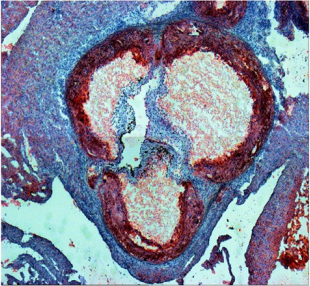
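This is a cross-section through the aortic root, where the valve cusps divide the lumen into several rounded lobes. The lumen itself holds pale pinkish material. The plaques form a nearly continuous red ring, thickest at the sides of the lobes.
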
